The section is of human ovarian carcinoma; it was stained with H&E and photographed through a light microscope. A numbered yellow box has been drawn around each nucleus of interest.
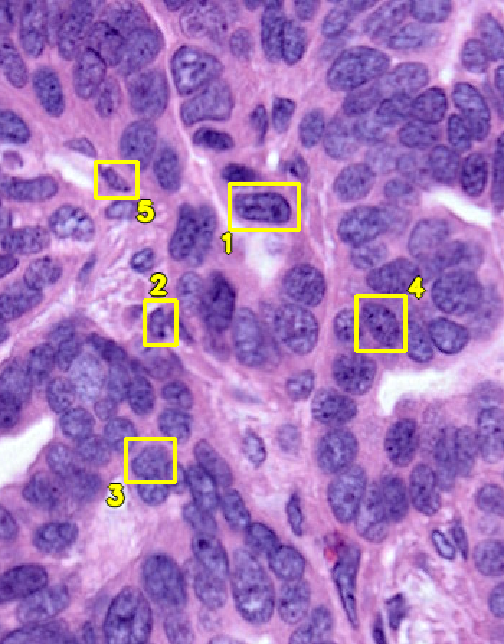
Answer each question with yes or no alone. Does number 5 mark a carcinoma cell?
no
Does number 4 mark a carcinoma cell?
yes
